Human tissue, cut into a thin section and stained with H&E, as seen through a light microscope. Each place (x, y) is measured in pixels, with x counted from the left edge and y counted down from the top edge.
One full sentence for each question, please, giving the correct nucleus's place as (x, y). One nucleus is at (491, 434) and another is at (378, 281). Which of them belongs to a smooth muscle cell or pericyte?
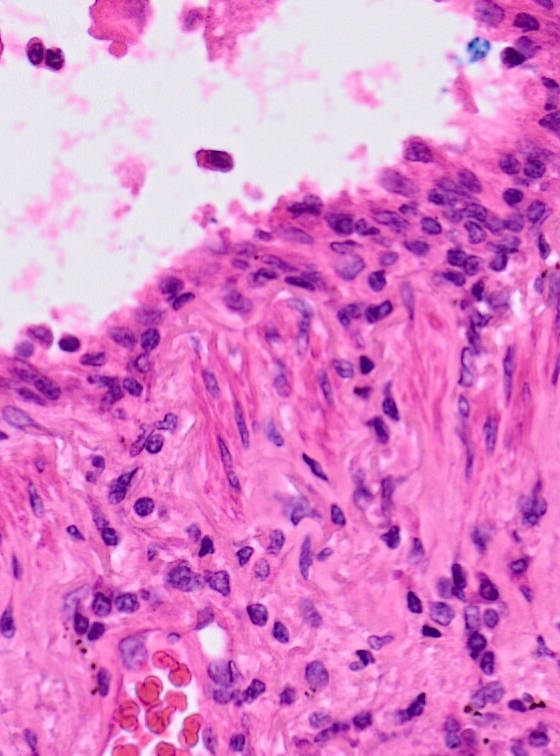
The nucleus positioned at (491, 434) forms part of a smooth muscle cell or pericyte.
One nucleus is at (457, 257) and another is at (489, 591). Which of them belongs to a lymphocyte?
The one belonging to a lymphocyte is the nucleus at (457, 257), not the other.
